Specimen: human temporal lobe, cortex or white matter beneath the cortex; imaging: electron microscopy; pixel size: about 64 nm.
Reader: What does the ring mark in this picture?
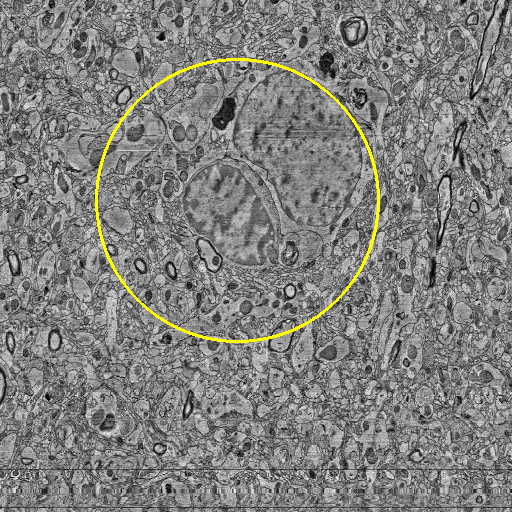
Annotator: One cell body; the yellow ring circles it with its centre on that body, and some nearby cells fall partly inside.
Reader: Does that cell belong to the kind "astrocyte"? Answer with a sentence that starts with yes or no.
No, the cell at the ring's centre in this picture is of another kind.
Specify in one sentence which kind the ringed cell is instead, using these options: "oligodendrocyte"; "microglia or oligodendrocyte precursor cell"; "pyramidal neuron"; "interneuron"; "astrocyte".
The cell that the ring is centred on is an oligodendrocyte.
